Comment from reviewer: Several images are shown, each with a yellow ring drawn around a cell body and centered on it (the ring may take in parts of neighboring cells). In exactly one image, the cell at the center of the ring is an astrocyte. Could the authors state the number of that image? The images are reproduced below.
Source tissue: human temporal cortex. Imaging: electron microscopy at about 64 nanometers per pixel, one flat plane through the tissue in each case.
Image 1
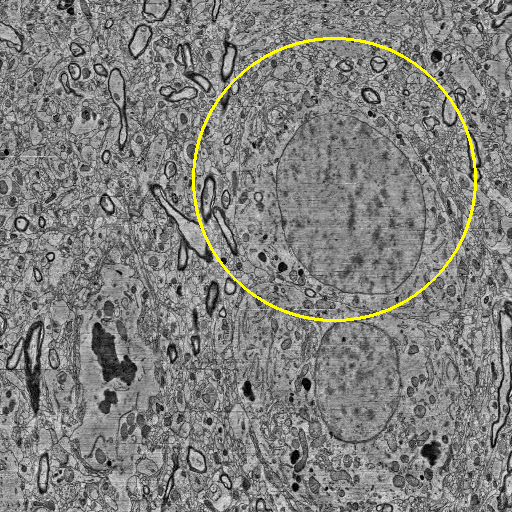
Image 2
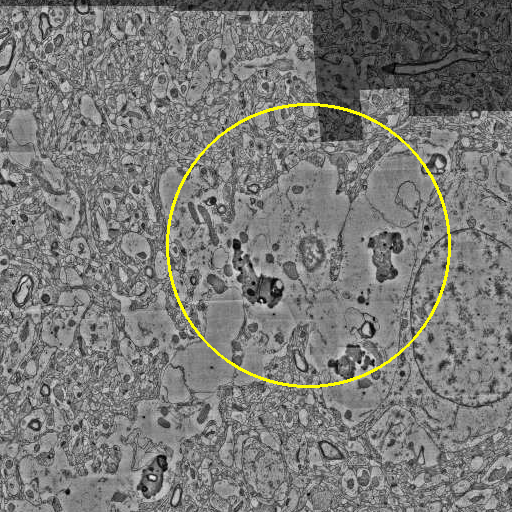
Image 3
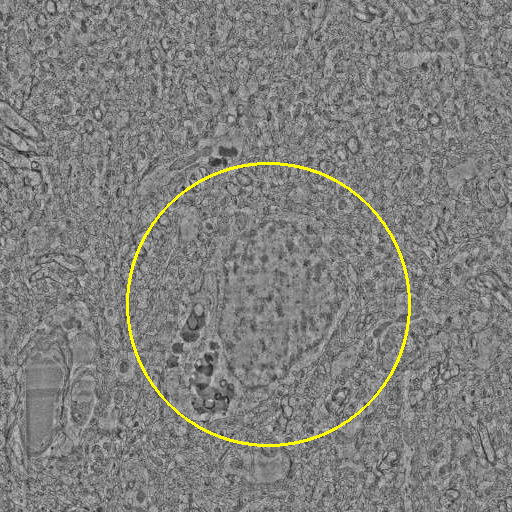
2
